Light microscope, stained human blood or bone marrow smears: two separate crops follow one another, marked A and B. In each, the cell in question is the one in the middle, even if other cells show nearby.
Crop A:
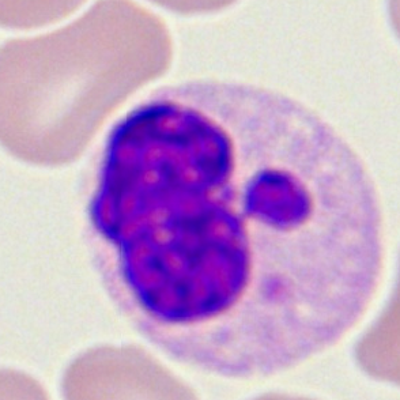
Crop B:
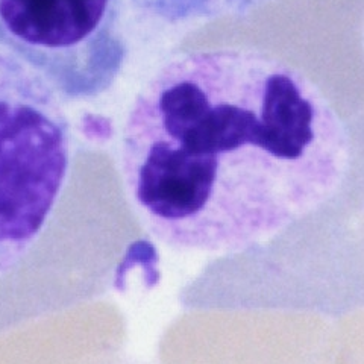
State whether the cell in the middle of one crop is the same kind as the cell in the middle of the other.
yes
